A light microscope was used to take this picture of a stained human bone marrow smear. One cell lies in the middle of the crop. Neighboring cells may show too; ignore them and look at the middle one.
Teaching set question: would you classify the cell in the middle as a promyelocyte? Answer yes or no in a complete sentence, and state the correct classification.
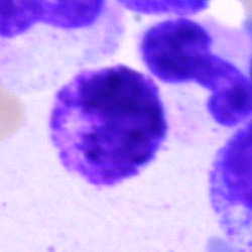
No, it is a basophil and not a promyelocyte that occupies the middle of the crop.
